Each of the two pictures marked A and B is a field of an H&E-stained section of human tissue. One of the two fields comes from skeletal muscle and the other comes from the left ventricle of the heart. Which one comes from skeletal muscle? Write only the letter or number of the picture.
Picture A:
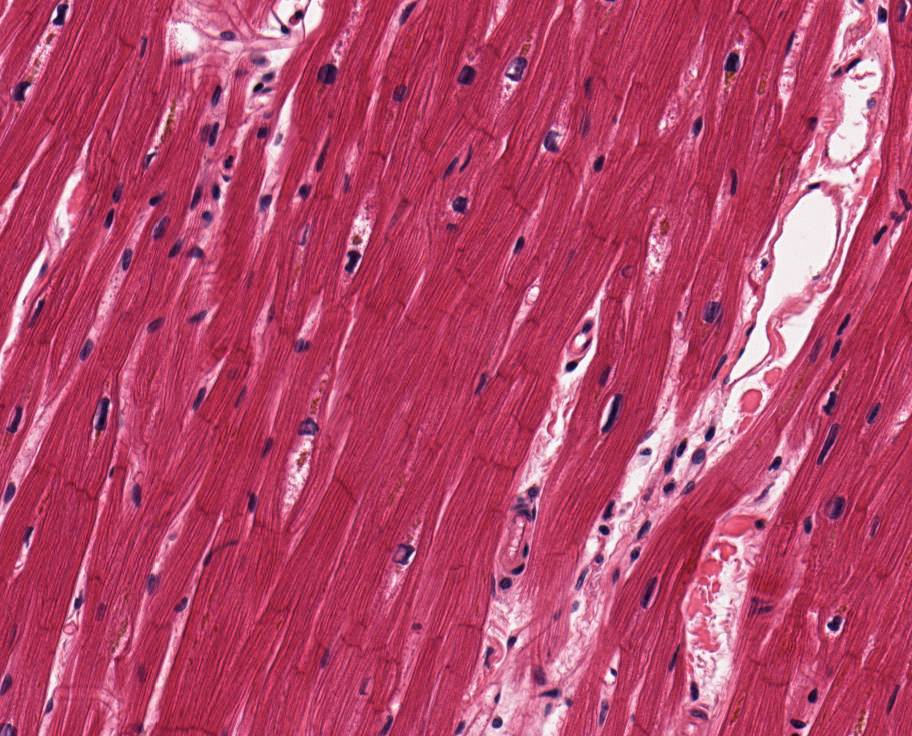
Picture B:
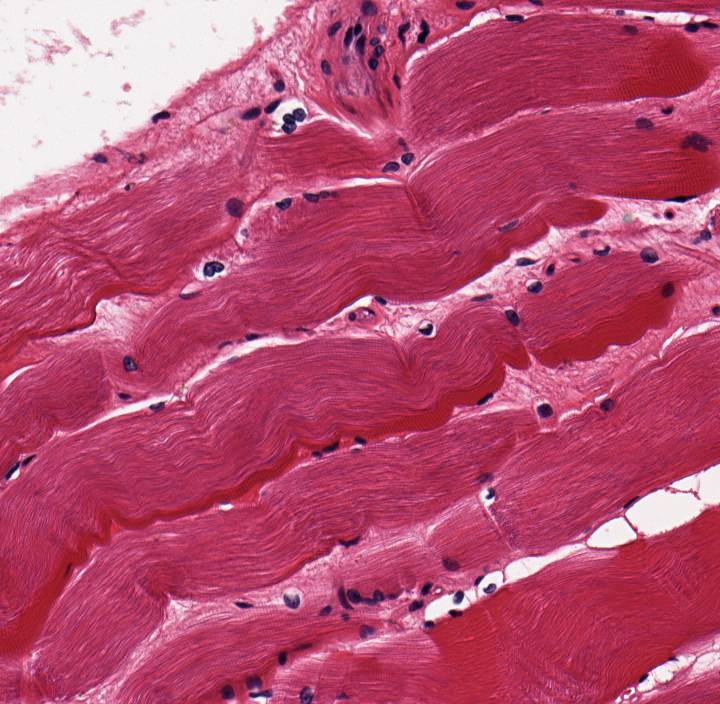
B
